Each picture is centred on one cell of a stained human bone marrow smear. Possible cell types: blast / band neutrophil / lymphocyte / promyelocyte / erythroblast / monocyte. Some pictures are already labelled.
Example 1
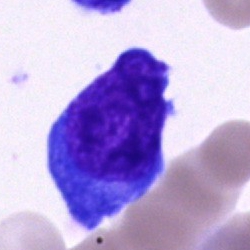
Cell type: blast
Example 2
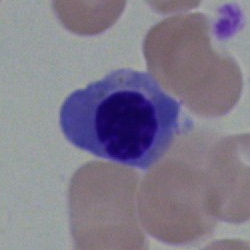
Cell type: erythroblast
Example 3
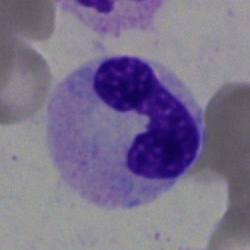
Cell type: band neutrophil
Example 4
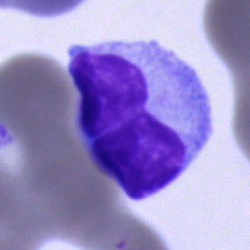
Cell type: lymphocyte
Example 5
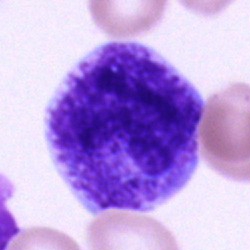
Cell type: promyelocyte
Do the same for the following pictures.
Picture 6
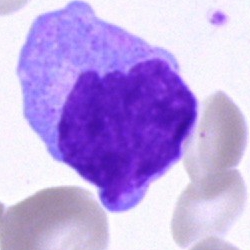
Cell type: monocyte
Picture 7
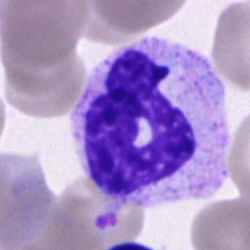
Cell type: band neutrophil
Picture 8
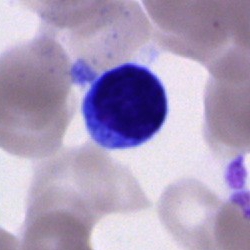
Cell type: lymphocyte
